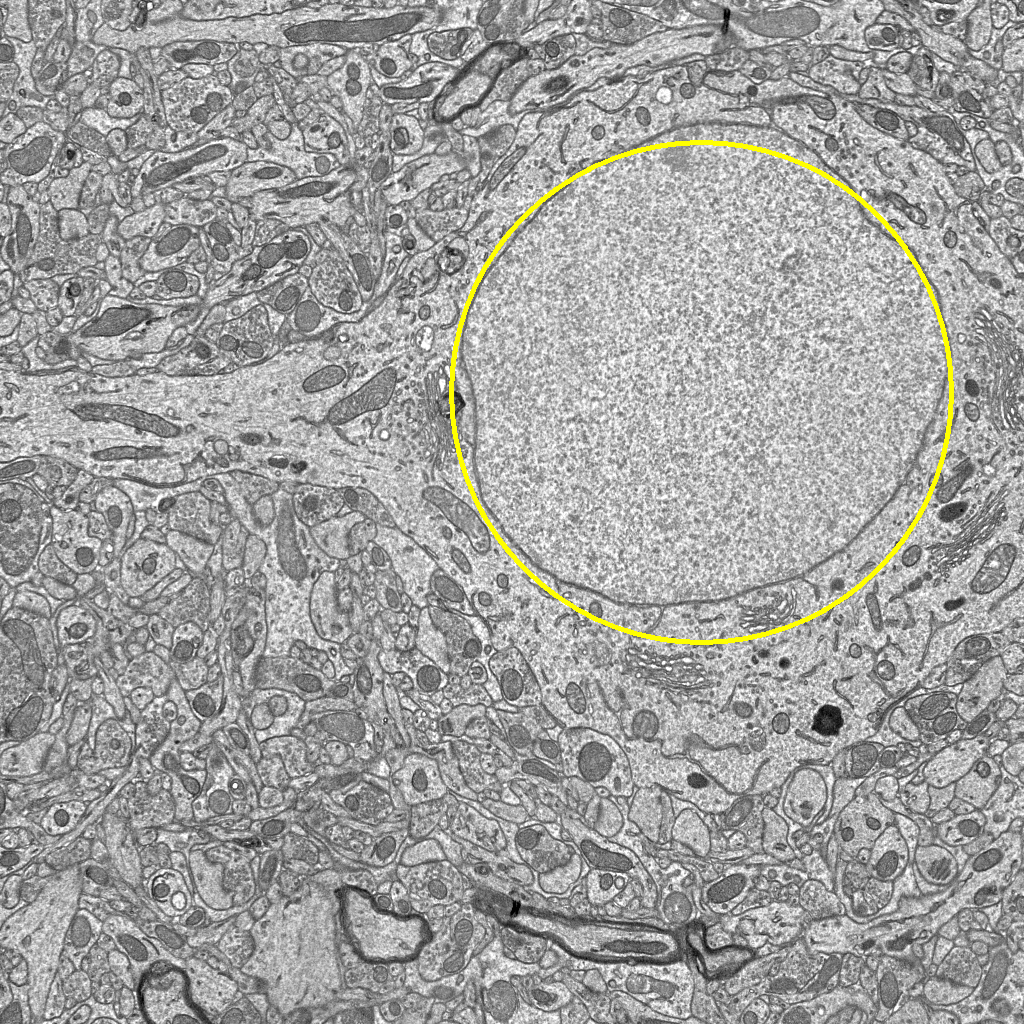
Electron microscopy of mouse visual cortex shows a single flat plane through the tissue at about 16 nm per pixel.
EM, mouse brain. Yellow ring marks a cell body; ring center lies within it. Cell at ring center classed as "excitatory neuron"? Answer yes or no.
yes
